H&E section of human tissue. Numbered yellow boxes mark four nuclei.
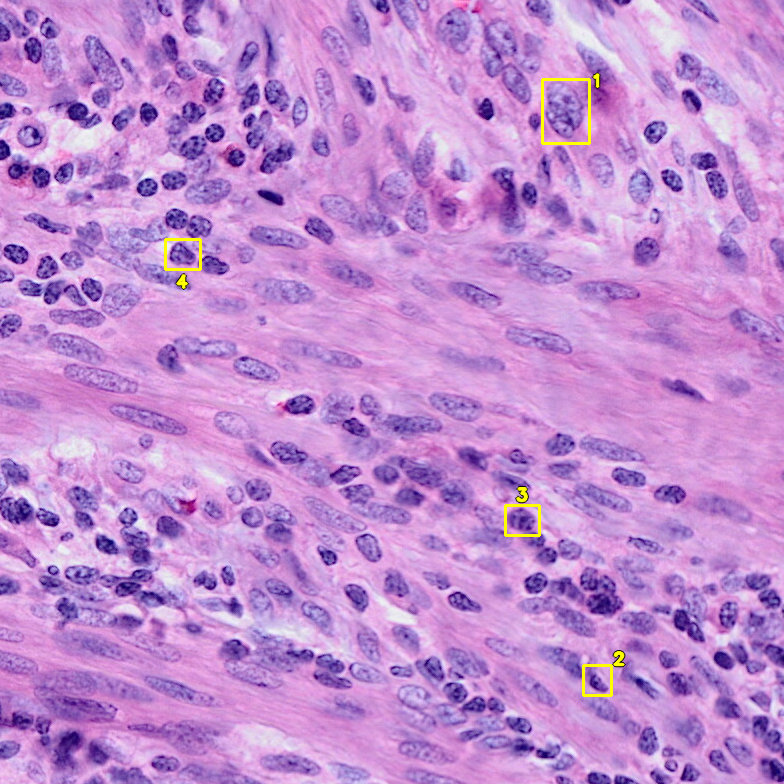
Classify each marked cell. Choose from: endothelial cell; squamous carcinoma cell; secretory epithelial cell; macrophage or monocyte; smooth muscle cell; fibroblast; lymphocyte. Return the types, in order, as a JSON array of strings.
["endothelial cell", "lymphocyte", "lymphocyte", "lymphocyte"]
